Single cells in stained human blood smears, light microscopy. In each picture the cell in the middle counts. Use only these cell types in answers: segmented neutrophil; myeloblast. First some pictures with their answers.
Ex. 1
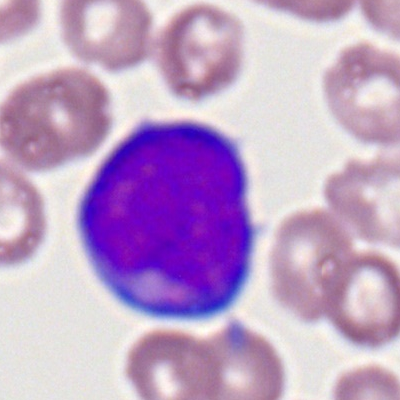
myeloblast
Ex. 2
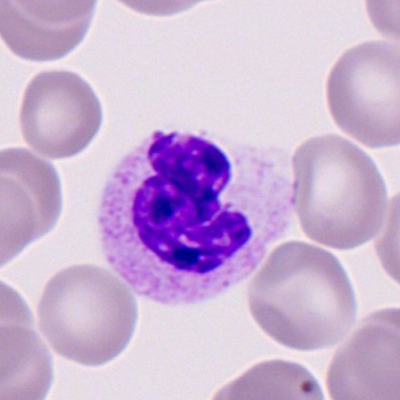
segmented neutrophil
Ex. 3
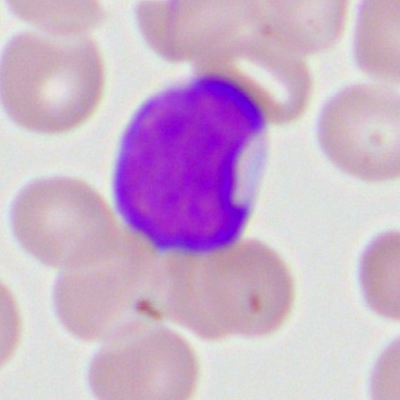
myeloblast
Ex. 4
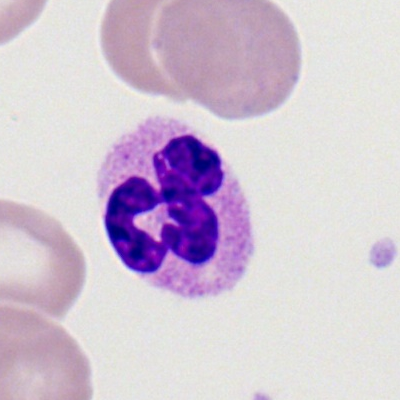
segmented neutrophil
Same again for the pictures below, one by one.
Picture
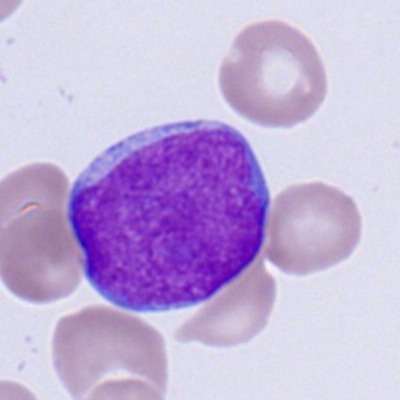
myeloblast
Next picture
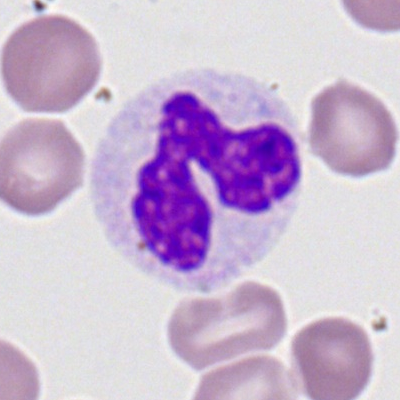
segmented neutrophil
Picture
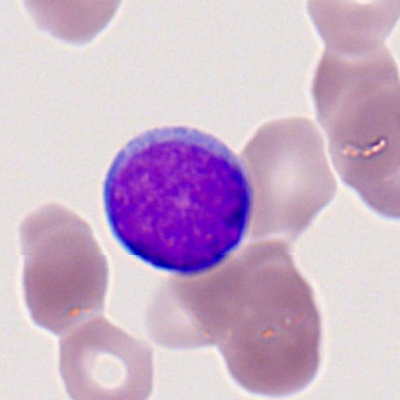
myeloblast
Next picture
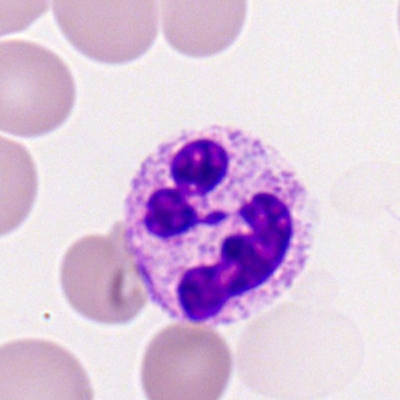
segmented neutrophil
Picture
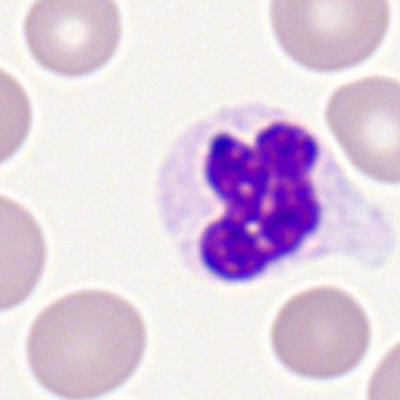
segmented neutrophil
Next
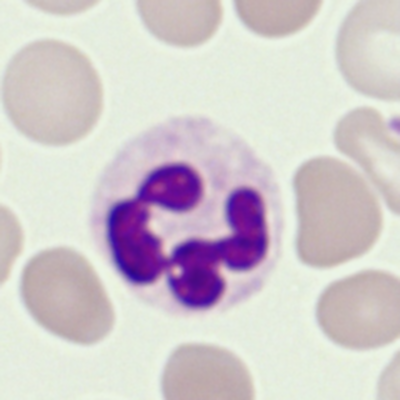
segmented neutrophil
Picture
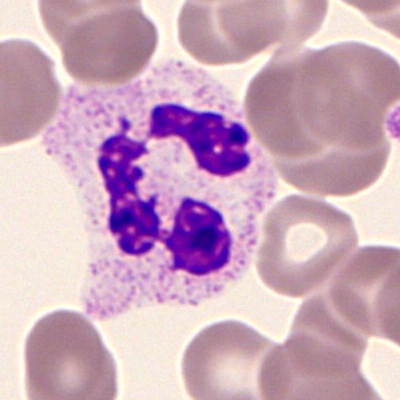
segmented neutrophil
